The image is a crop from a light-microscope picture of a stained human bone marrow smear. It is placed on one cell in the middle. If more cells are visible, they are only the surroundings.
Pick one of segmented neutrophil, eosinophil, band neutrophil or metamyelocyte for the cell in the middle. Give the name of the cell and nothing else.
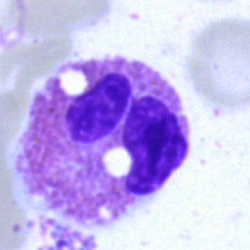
eosinophil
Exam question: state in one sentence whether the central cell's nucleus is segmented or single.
The nuclear outline breaks up into two or more lobes.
